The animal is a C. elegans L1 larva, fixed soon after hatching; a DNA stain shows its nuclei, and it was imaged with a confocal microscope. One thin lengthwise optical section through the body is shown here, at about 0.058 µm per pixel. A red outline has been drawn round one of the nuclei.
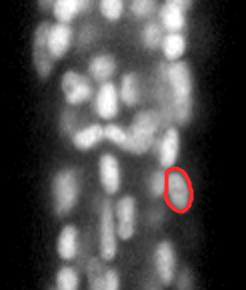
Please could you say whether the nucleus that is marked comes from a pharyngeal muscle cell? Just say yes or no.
no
